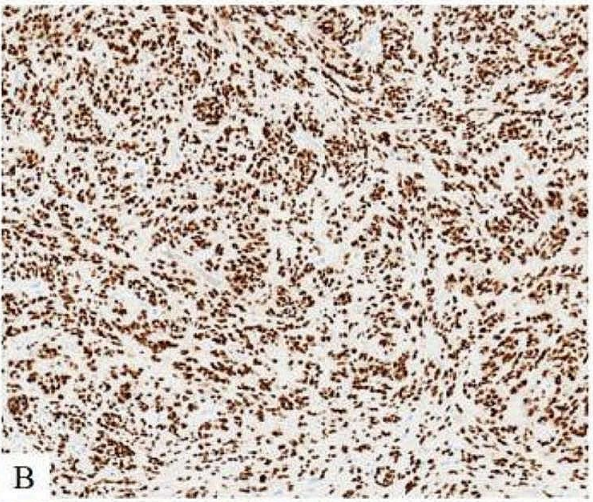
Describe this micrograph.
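Densely cellular tissue of crowded tumour-like cells with oval to elongated nuclei, almost all stained dark brown. Cells lie in interlacing fascicles and sheets, with spindle-shaped nuclei streaming in different directions and rounder nuclei clustered in nests. The stain sits in the nuclei; the scant cytoplasm and thin intervening stroma remain pale. A few thin pale septa and small vessel spaces separate groups of cells. Nuclear density is high with little intervening matrix, and the staining is uniform and widespread rather than patchy.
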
